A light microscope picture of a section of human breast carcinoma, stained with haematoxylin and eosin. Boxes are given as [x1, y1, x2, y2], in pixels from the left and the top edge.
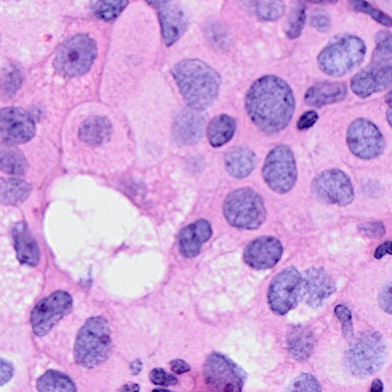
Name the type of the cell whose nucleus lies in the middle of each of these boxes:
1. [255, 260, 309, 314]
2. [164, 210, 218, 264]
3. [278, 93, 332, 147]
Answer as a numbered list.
1. carcinoma cell
2. carcinoma cell
3. lymphocyte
